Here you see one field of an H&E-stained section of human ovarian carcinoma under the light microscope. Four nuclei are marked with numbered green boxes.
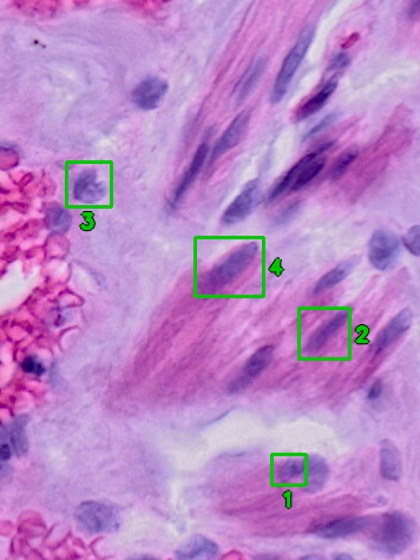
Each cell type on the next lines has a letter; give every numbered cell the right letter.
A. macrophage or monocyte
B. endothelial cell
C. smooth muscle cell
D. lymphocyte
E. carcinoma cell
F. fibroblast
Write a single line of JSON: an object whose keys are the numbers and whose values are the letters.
{"1": "C", "2": "C", "3": "F", "4": "C"}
